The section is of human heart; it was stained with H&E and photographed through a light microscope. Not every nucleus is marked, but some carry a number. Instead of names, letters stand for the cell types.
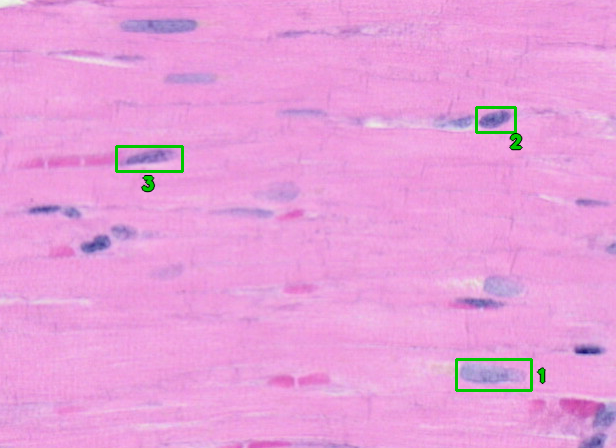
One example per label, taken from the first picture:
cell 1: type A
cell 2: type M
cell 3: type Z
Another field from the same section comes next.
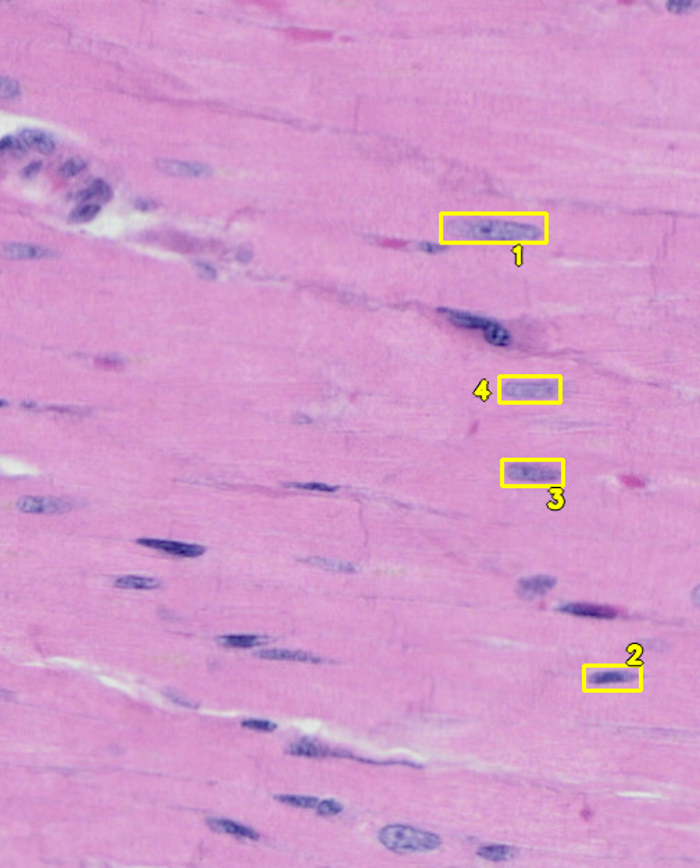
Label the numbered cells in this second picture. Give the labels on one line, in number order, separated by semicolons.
type A; type Z; type A; type A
